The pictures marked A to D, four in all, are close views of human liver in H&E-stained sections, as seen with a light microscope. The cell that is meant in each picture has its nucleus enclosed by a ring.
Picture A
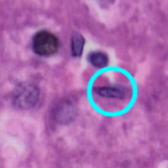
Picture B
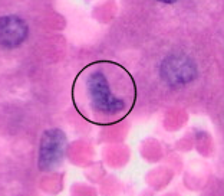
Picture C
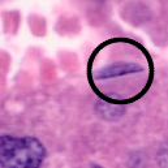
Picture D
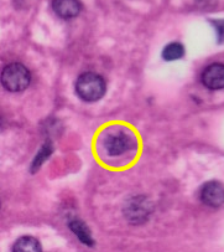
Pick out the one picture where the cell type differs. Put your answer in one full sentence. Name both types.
All pictures except A show “fibroblasts or stellate cells”; picture A shows an endothelial cell.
